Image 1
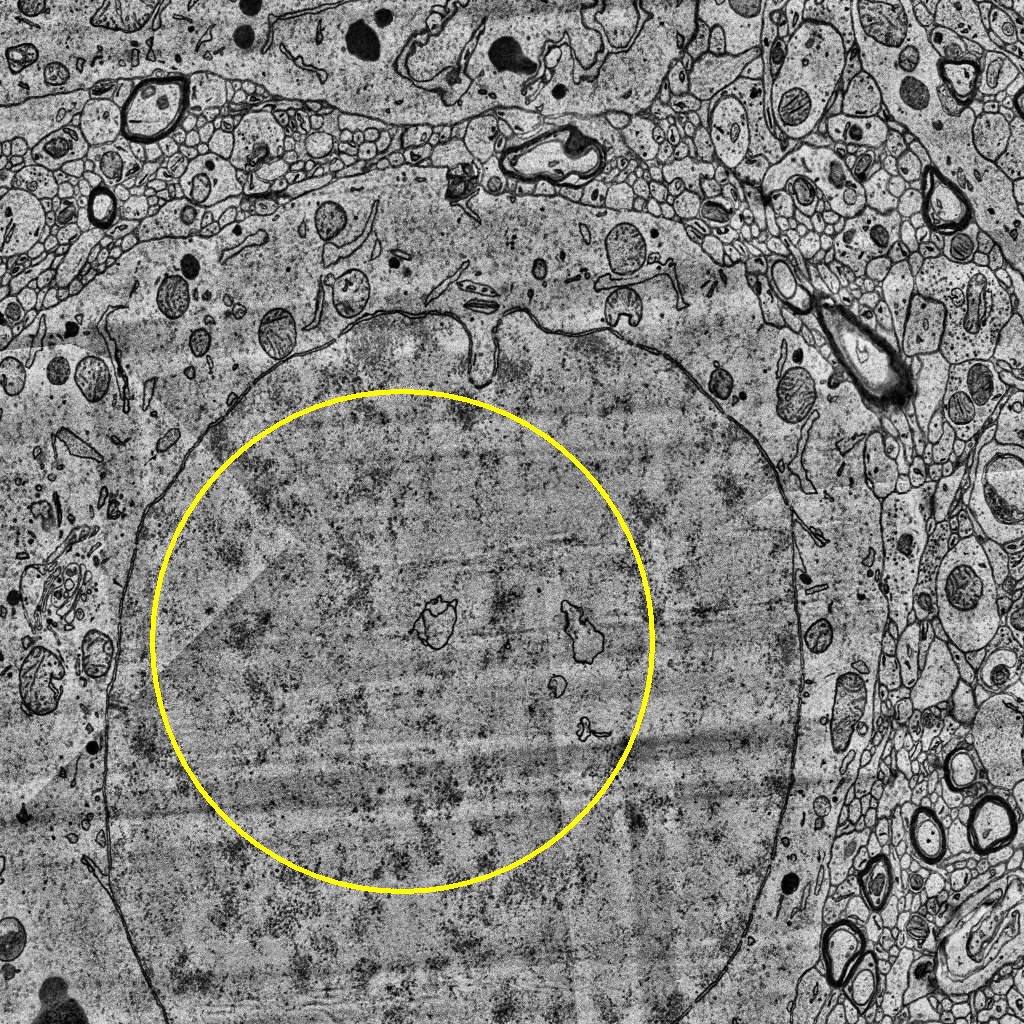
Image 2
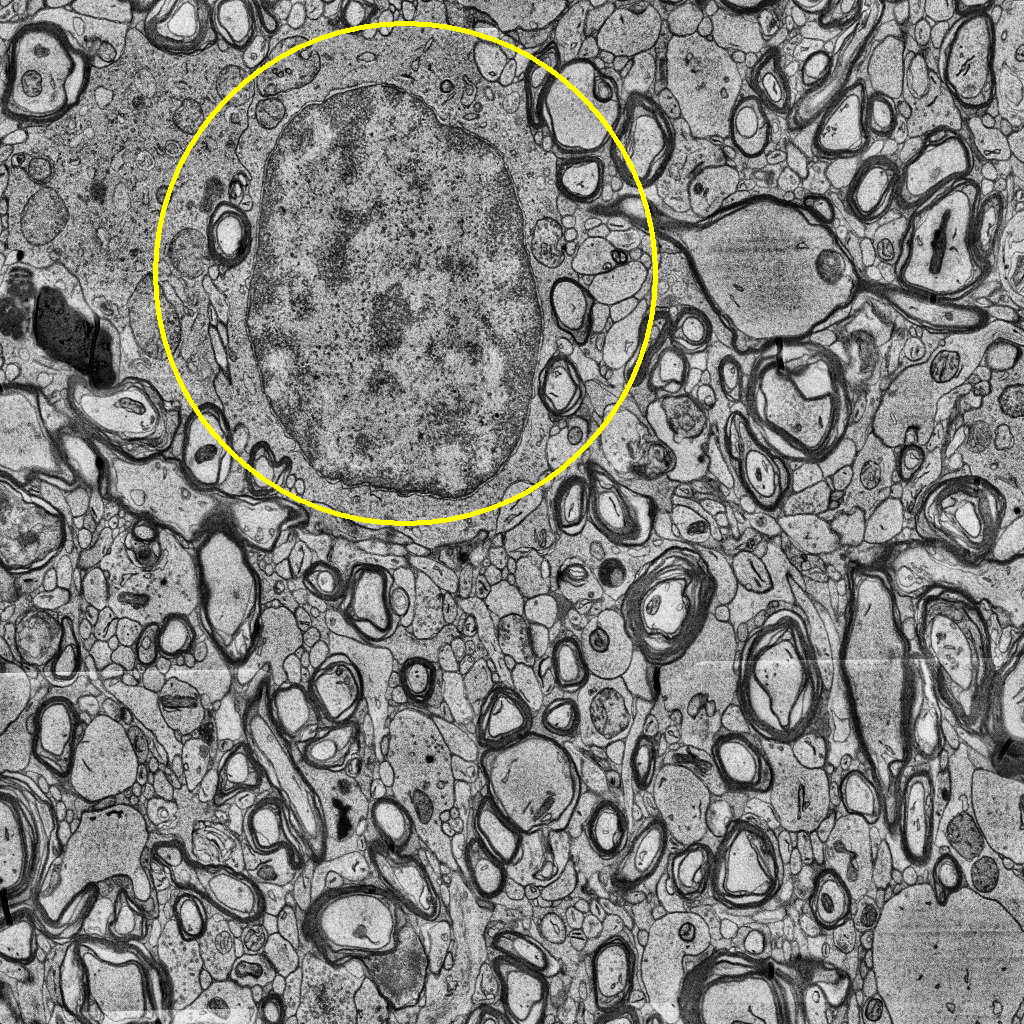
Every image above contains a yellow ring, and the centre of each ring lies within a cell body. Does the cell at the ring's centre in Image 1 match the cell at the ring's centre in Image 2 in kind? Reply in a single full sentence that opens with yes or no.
No, the cell at the ring's centre in Image 1 is a separate kind from that in Image 2.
